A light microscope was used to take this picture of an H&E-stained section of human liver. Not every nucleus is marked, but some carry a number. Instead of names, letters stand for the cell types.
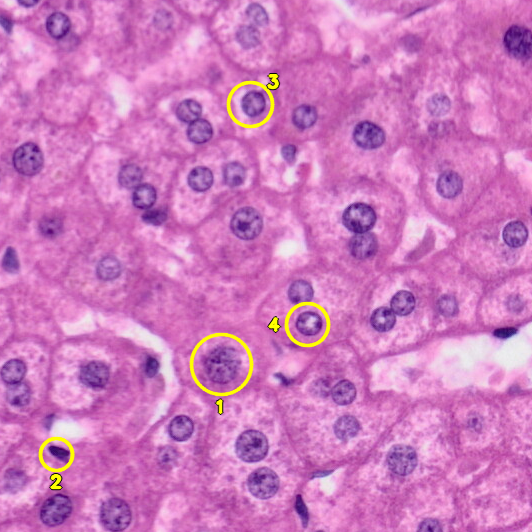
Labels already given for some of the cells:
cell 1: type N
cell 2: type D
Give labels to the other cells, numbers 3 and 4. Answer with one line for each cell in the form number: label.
3: type N
4: type N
